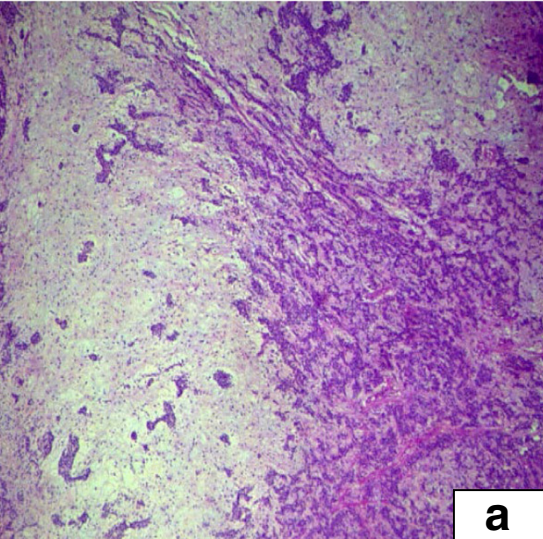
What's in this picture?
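At low power this tumor shows its cells gathered in nests, cords and trabeculae set in a pale myxoid background. The dense purple cellular areas are concentrated toward one side, where cells run in crowded, somewhat streaming strands. On the other side, small islands and thin strands of cells float in a wide, loose, pale matrix. The border between the cell-rich and matrix-rich areas is irregular, with strands reaching out into the pale background.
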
